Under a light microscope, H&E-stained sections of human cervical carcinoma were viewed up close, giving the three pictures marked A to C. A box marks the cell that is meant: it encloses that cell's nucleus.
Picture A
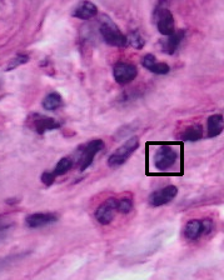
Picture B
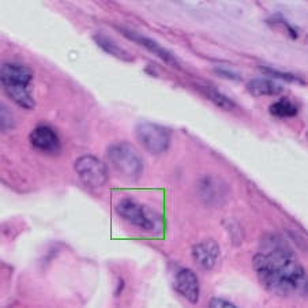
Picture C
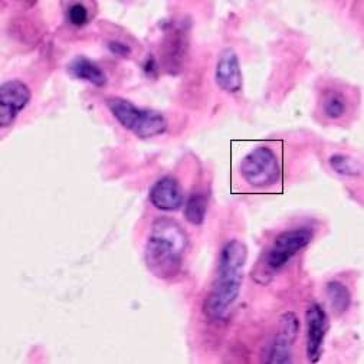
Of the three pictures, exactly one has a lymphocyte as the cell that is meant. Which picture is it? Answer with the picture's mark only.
A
